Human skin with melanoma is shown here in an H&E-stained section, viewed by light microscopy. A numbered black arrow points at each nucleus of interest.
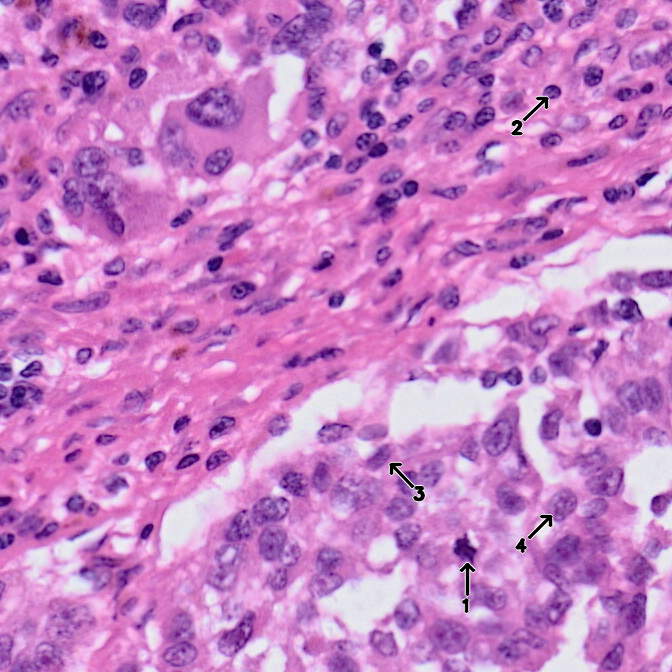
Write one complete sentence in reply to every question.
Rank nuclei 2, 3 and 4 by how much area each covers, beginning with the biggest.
From largest to smallest, the order is 4, 3, 2.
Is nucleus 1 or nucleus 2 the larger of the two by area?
Nucleus 1 is larger, with an area about 2 times that of nucleus 2.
